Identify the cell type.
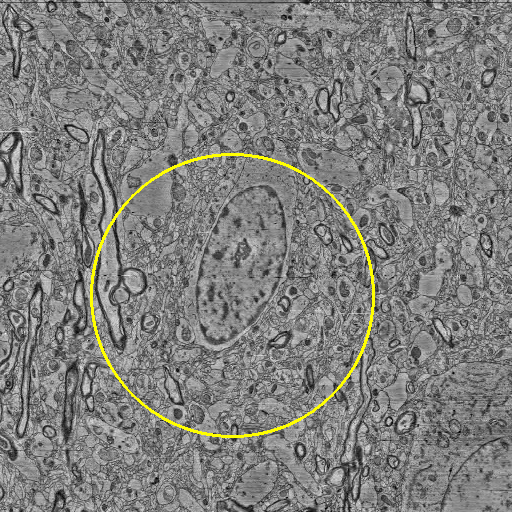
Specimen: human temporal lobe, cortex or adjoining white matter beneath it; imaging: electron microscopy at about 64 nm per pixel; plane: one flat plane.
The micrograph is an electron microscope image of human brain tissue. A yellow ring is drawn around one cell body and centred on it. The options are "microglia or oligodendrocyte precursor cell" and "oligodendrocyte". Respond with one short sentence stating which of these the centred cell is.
The cell body in the ring belongs to a microglial cell or oligodendrocyte precursor cell.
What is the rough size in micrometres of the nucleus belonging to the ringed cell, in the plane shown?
Roughly 11 micrometres long and 5 micrometres wide; in this plane the nucleus is clearly longer than it is wide.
